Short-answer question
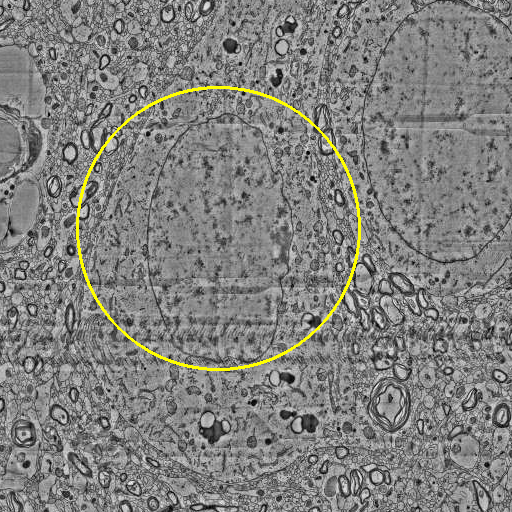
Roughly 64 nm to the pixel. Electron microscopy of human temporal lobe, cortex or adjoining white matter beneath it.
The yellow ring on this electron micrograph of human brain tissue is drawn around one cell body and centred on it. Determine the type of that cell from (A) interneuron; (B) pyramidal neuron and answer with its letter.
B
